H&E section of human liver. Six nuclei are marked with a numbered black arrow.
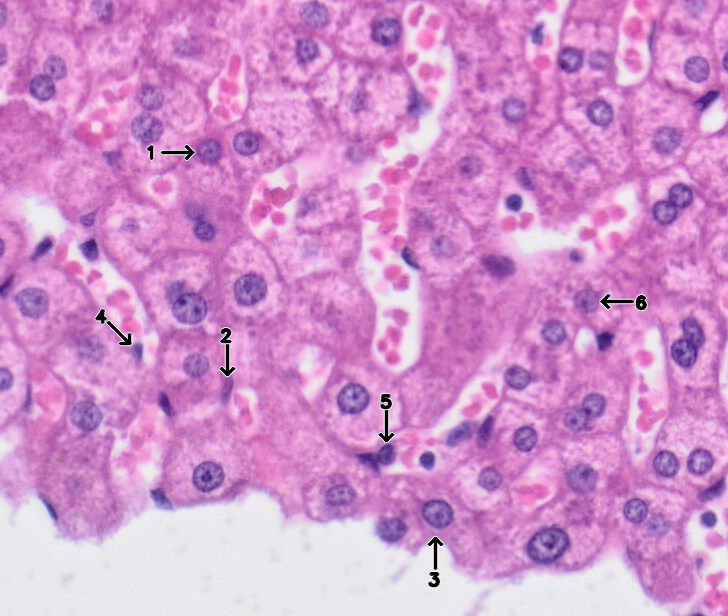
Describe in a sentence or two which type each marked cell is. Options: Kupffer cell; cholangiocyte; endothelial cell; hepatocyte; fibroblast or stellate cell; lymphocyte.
Cell 1 is a hepatocyte, cell 2 is an endothelial cell, cell 3 is a hepatocyte, cell 4 is a lymphocyte, cell 5 is a Kupffer cell and cell 6 is a hepatocyte.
